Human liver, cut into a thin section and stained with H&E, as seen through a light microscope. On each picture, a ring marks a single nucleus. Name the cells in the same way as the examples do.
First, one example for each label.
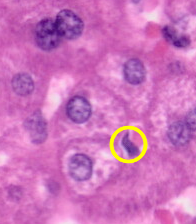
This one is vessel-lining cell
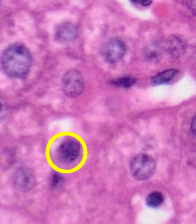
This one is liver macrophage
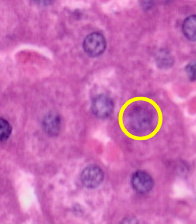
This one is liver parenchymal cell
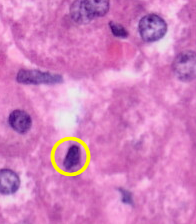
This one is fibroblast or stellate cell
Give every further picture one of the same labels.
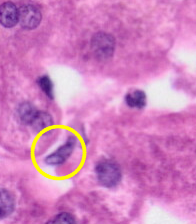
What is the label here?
liver macrophage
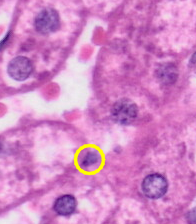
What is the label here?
fibroblast or stellate cell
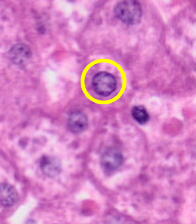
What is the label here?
liver parenchymal cell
